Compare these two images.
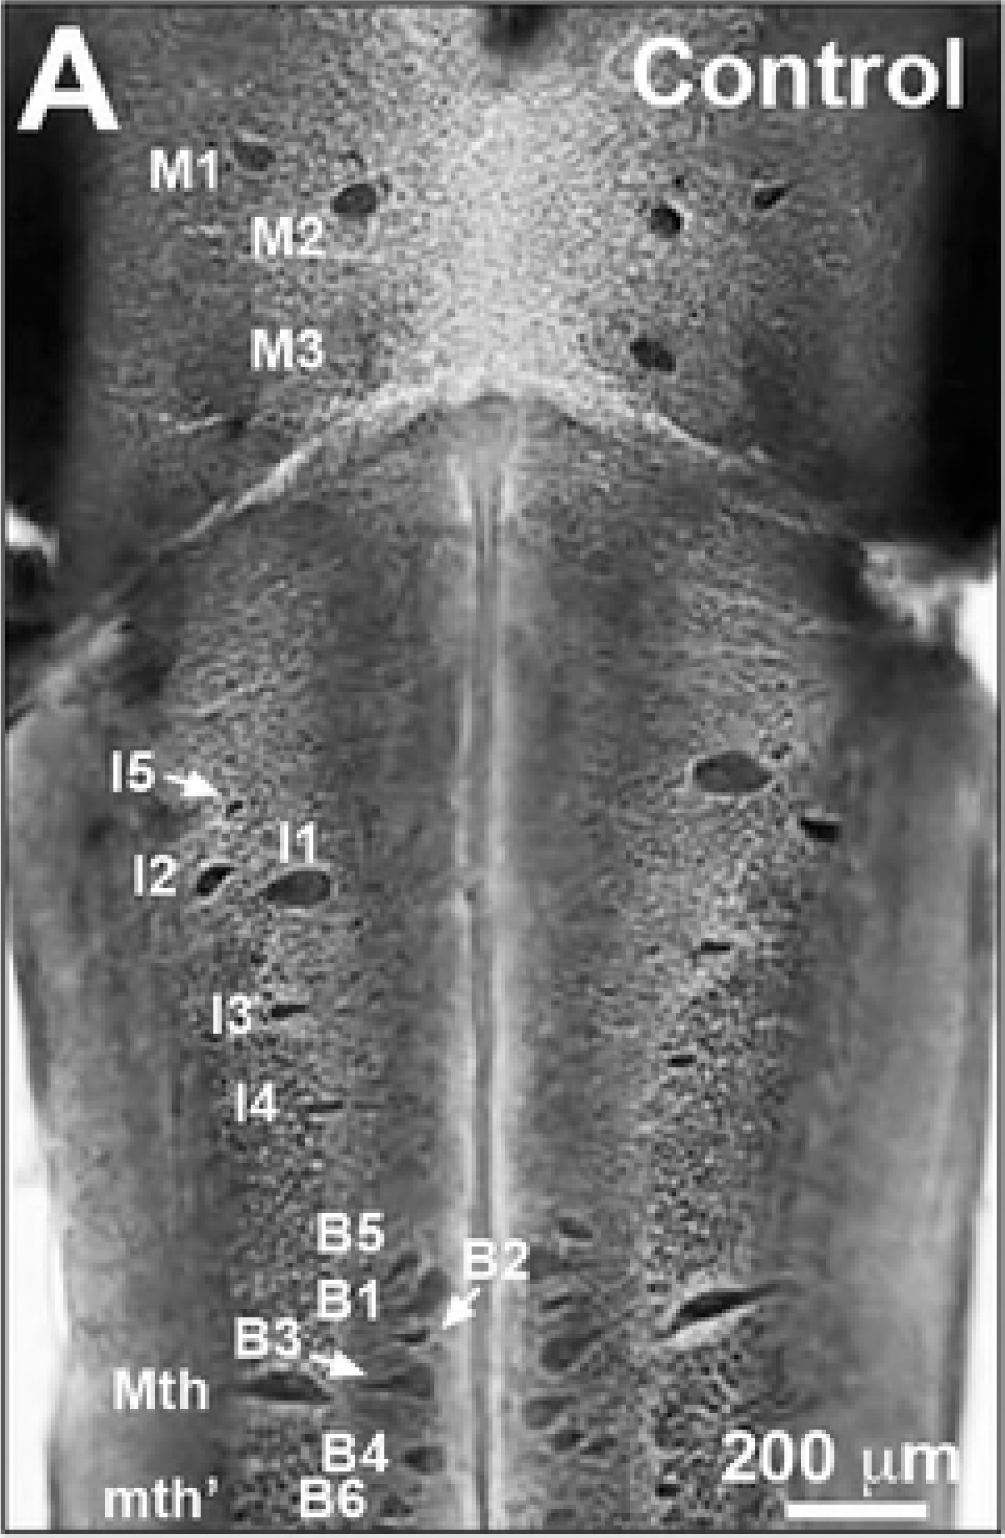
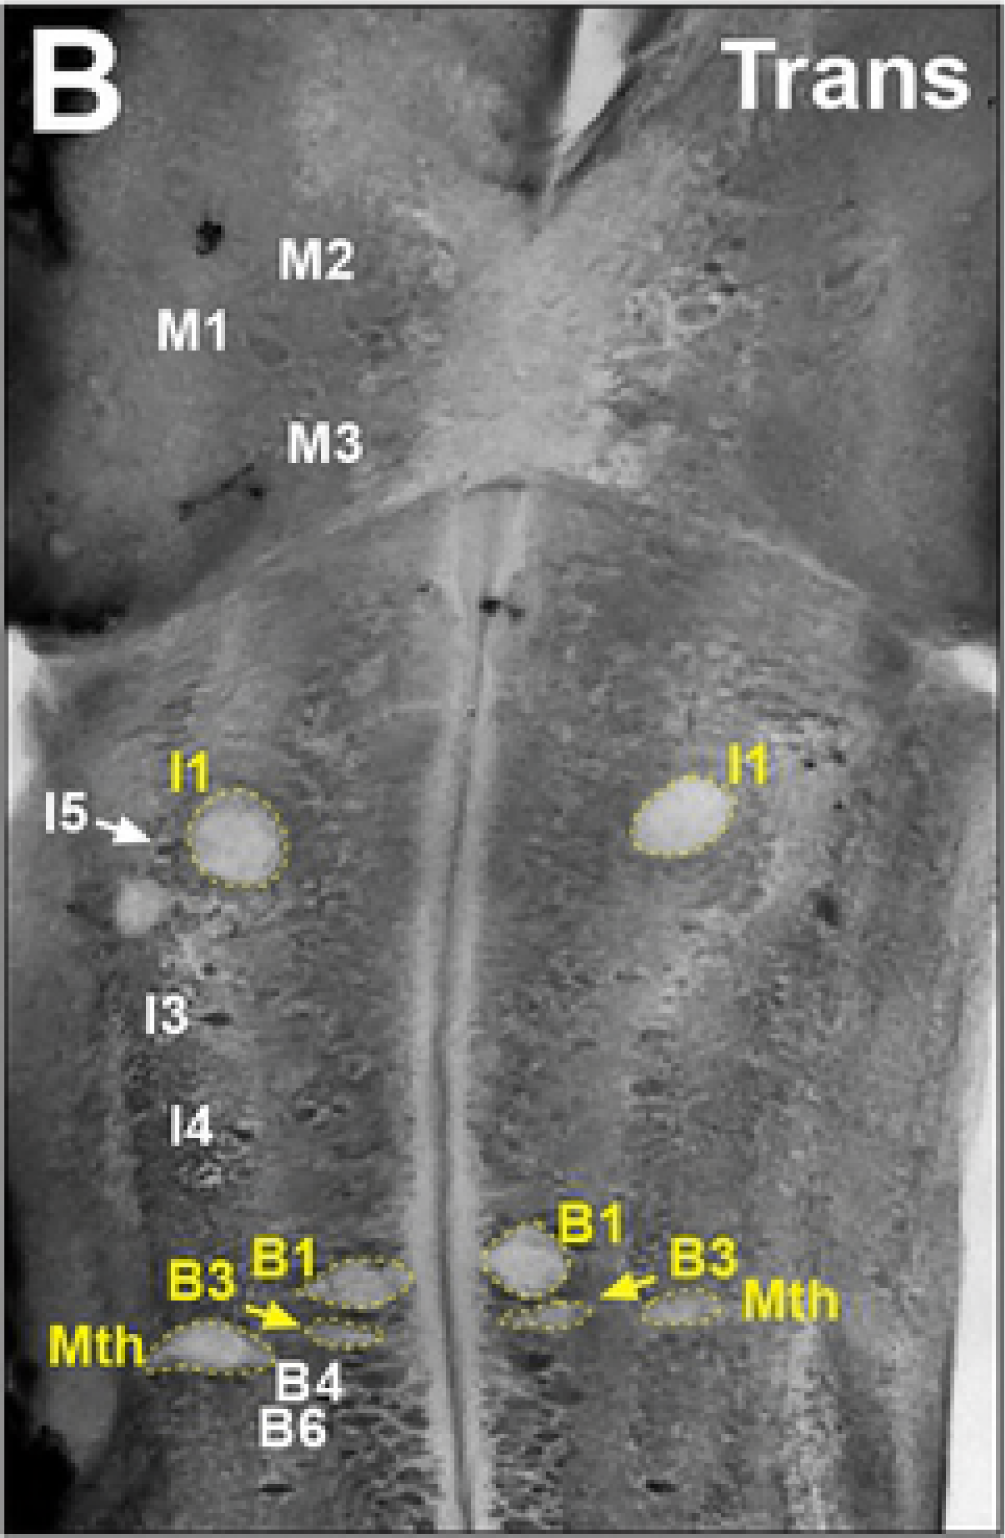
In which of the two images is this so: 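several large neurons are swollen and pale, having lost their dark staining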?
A: The second image.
